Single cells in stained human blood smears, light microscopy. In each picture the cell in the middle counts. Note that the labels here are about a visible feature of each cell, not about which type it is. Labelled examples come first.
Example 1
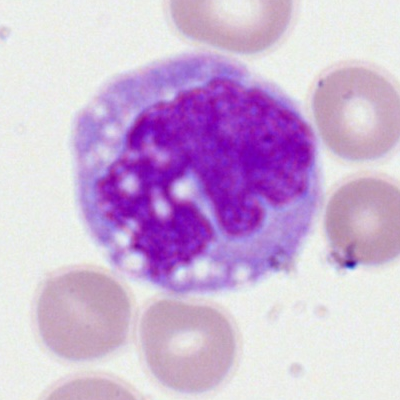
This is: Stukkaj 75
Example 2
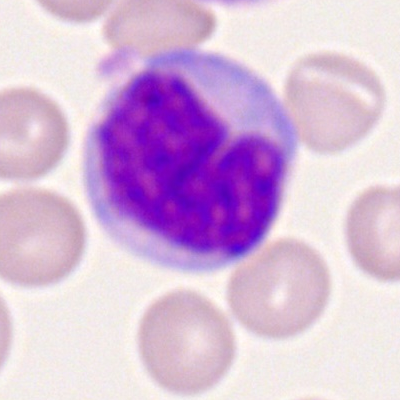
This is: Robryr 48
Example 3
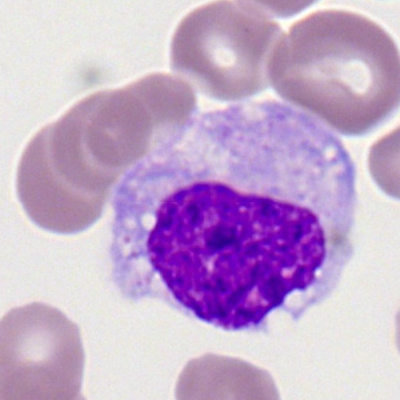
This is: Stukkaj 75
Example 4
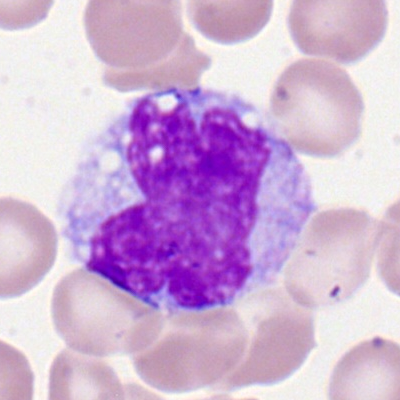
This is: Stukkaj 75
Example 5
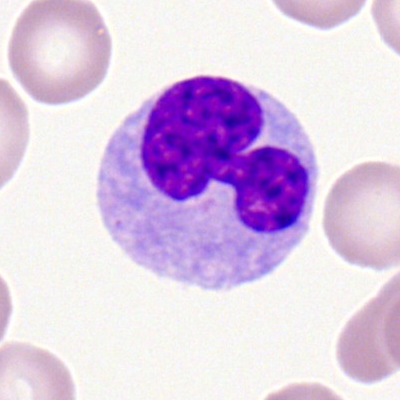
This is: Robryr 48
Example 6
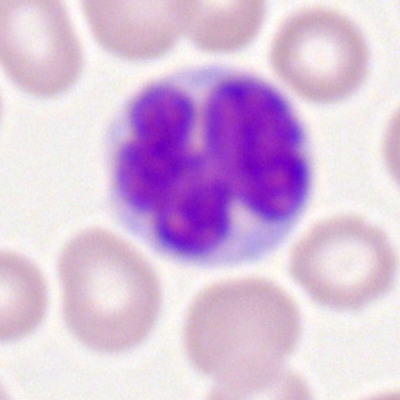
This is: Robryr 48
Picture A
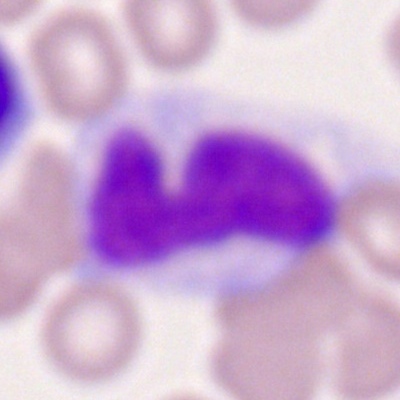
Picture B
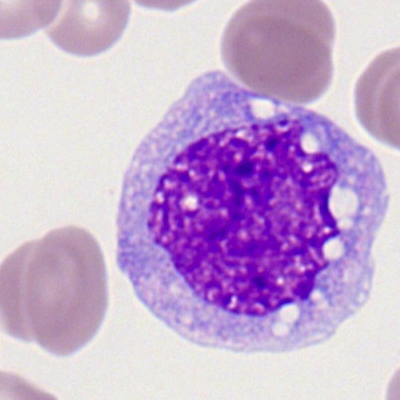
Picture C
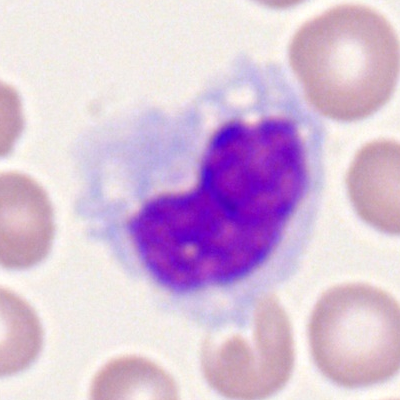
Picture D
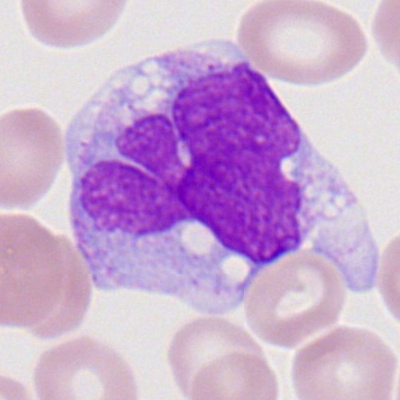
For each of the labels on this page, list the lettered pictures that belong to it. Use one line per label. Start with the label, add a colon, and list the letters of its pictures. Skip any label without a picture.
Stukkaj 75: B, C, D
Robryr 48: A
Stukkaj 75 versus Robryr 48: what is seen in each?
Stukkaj 75: vacuoles present; Robryr 48: no vacuoles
